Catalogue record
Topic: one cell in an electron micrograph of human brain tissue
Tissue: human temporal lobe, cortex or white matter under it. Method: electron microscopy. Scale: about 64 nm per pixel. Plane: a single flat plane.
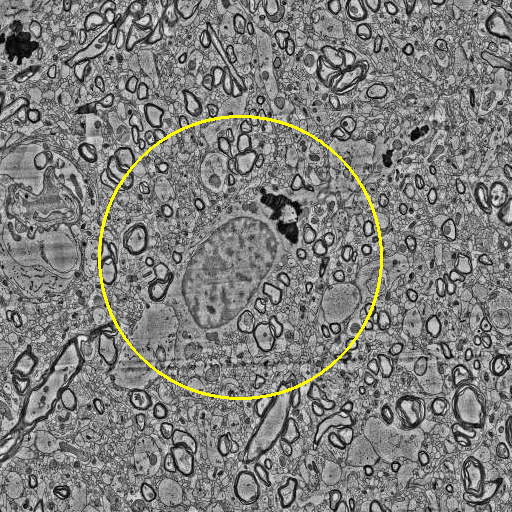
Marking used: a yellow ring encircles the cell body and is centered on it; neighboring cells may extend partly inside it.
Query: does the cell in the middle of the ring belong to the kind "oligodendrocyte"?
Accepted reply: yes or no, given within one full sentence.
Yes, the cell centered in the ring in the picture is of that kind.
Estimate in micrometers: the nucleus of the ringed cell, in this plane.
About 8 by 5 micrometers for the nucleus, in this plane.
